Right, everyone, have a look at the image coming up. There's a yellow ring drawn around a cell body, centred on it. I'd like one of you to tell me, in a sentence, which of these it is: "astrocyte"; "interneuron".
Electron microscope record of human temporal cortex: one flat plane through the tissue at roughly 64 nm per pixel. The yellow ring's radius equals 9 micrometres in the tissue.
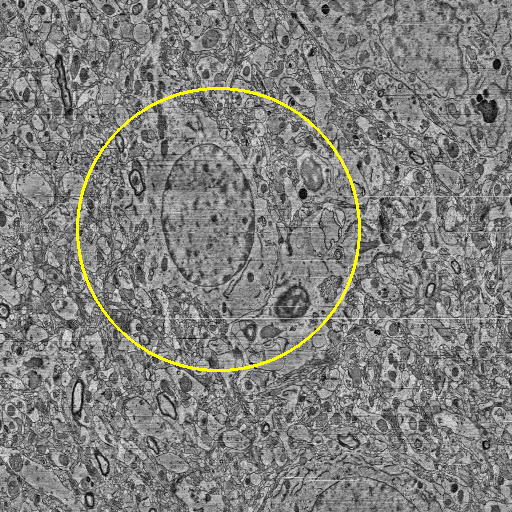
The yellow ring sits on an astrocyte.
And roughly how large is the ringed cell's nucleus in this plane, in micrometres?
At approximately 9 by 6 micrometres, the nucleus is clearly longer than it is wide in this plane.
